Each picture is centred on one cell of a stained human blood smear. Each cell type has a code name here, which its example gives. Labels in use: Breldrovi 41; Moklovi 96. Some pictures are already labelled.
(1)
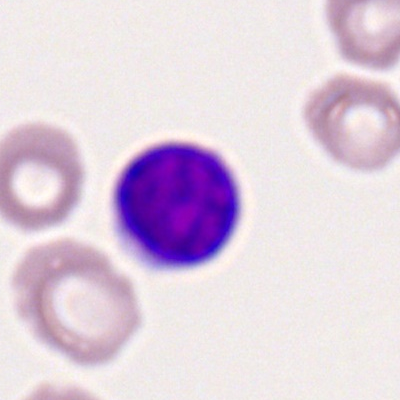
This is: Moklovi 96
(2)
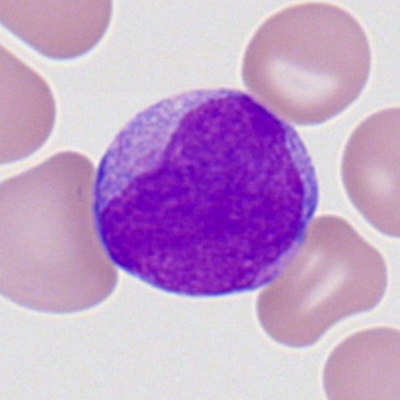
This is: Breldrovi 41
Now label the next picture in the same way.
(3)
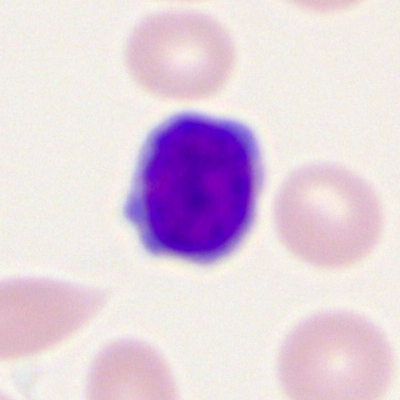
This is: Moklovi 96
